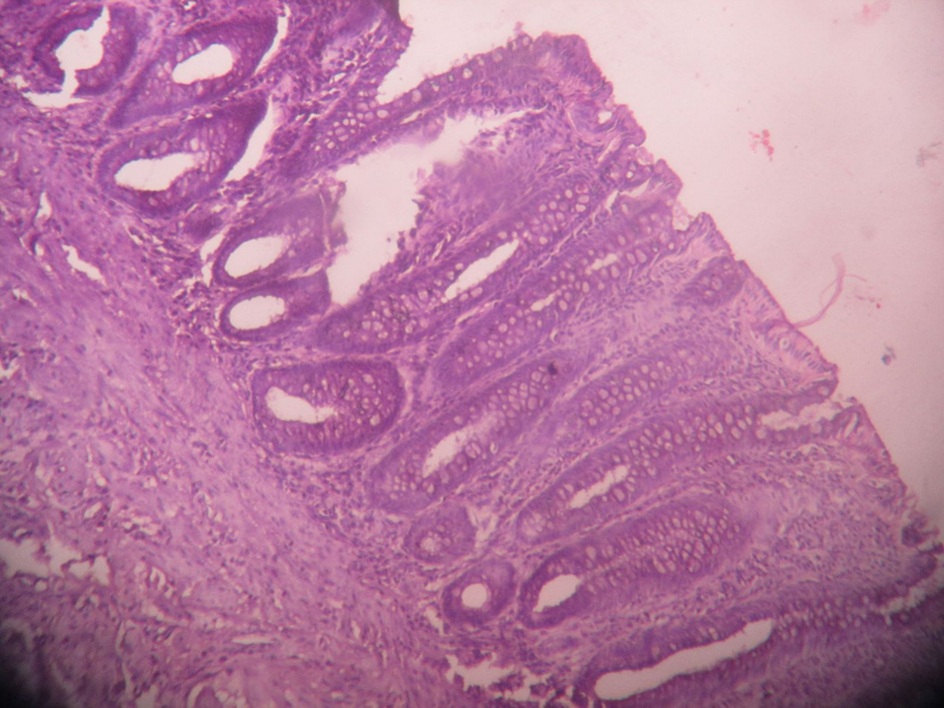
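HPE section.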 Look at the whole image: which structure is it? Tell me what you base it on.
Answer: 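Tubular glands with open lumens extend down from the surface epithelium. Glands are arranged side by side in a row within the mucosa.
Crypts.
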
